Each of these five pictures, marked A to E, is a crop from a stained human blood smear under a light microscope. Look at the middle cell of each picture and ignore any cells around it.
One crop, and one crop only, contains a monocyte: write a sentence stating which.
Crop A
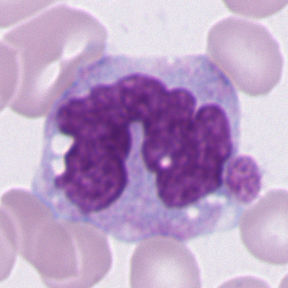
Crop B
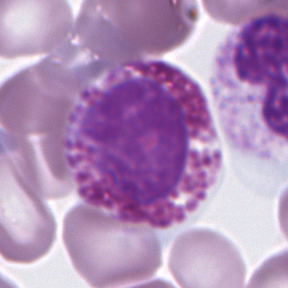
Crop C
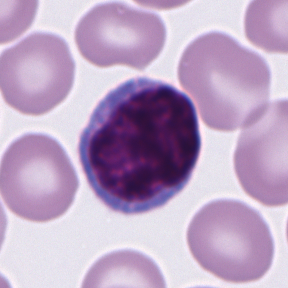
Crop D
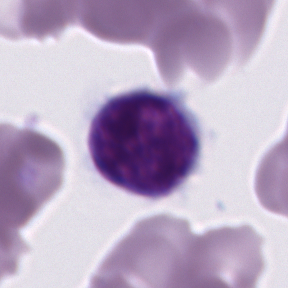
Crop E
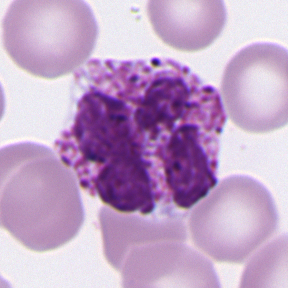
Crop A is the one that shows a monocyte.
